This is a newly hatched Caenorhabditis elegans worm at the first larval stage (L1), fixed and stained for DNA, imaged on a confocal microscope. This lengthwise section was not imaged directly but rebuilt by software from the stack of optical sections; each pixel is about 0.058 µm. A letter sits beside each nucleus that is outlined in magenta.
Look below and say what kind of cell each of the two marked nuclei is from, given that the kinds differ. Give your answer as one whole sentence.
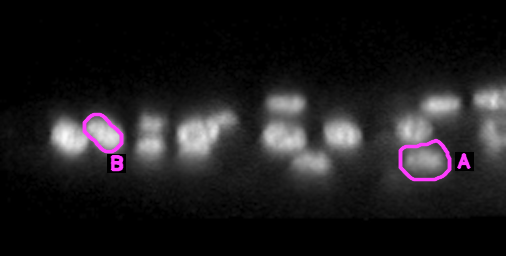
Nucleus A comes from a neuron and nucleus B from a hypodermal cell (hyp).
